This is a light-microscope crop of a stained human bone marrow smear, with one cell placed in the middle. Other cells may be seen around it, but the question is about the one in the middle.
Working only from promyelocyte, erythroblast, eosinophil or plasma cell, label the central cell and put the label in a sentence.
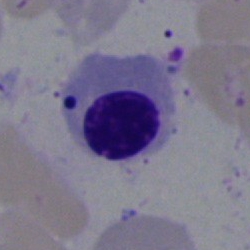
The cell sitting right in the middle is an erythroblast.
